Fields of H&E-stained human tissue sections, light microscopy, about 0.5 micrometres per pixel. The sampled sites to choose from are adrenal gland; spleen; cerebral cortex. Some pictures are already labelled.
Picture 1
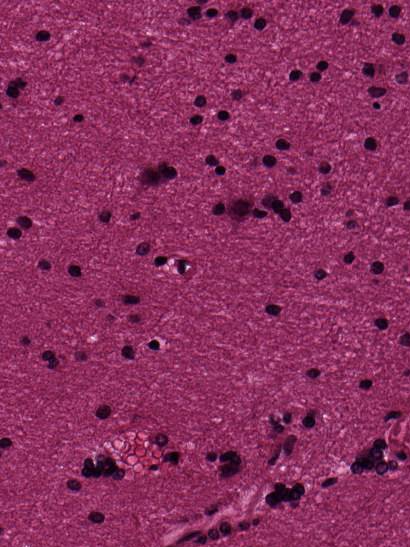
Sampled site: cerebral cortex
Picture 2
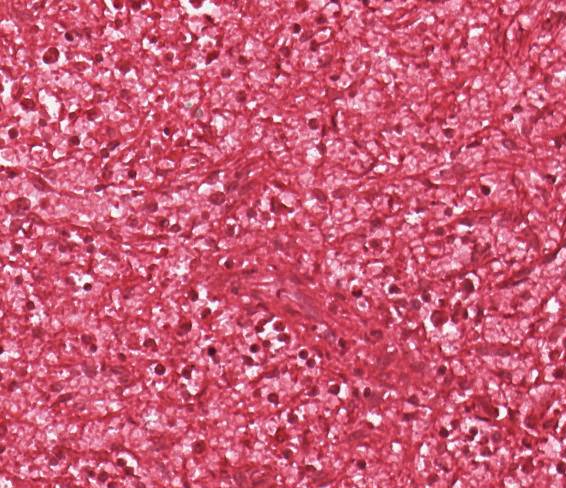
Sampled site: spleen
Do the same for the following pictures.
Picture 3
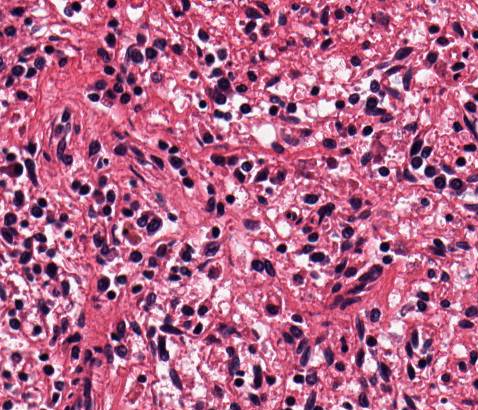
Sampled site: spleen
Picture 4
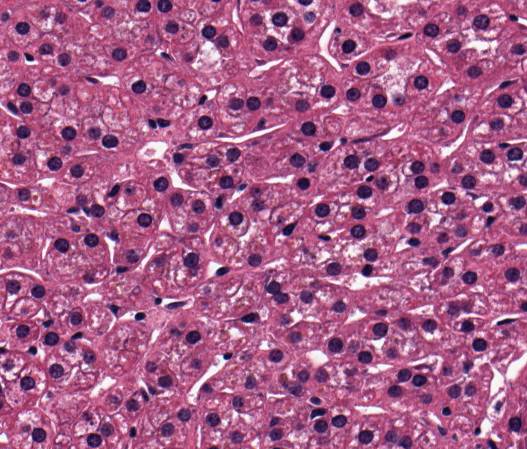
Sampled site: adrenal gland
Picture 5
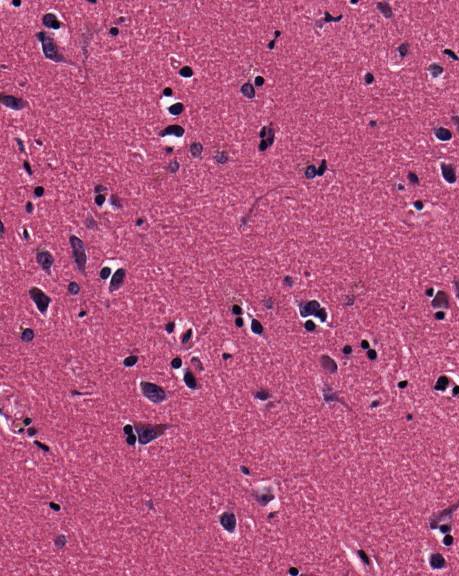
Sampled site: cerebral cortex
